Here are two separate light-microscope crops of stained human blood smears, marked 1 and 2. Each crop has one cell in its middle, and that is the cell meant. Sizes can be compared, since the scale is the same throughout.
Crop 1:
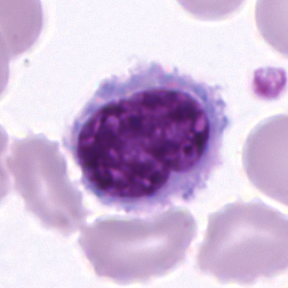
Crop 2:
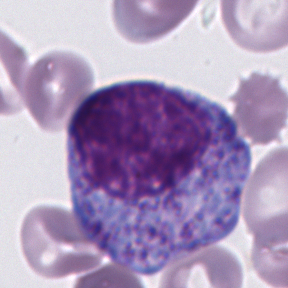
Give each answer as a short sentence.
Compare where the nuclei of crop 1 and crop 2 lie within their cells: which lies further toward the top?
In crop 2 the nucleus is shifted more toward the top.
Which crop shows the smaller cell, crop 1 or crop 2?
The cell in crop 1 is smaller; the one in crop 2 has about 1.5 times its area.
